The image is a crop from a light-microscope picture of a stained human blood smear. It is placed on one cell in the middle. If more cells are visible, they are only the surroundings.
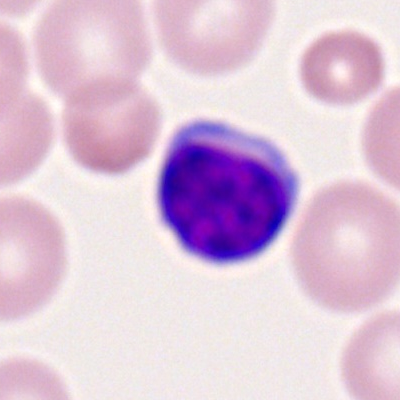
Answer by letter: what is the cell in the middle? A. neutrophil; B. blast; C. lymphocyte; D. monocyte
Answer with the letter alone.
C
